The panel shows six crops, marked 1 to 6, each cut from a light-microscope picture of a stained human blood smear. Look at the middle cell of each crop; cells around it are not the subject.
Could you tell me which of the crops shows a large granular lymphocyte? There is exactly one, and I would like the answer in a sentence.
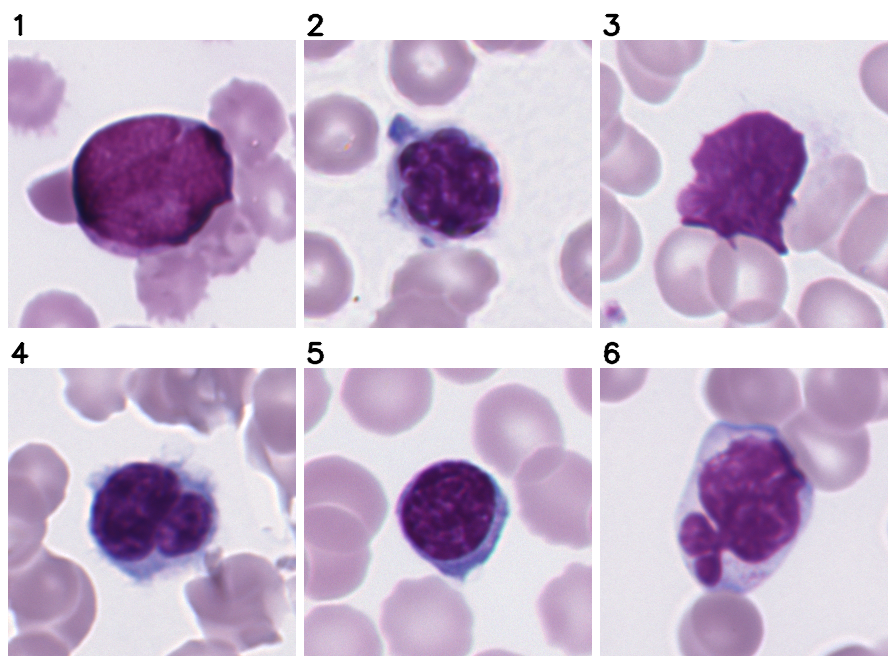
The correct choice is crop 6, the one showing a large granular lymphocyte.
